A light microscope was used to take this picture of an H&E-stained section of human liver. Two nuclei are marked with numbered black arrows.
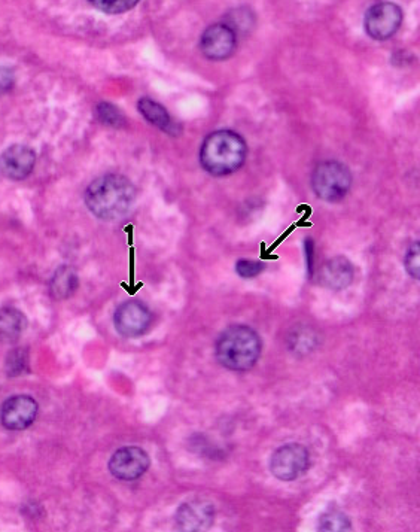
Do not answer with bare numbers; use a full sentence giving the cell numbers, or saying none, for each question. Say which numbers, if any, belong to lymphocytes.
Cell number 2 alone is a lymphocyte; the rest are not.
